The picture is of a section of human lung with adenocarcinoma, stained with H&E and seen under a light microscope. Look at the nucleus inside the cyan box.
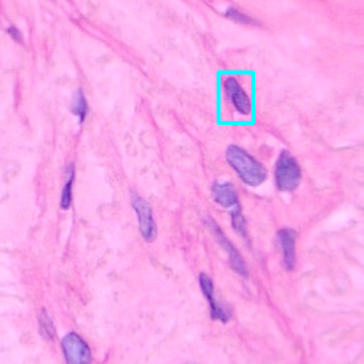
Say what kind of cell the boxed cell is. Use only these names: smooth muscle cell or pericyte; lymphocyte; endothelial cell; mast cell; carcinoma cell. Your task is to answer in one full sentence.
So far as cell type goes, the boxed cell is a smooth muscle cell or pericyte.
